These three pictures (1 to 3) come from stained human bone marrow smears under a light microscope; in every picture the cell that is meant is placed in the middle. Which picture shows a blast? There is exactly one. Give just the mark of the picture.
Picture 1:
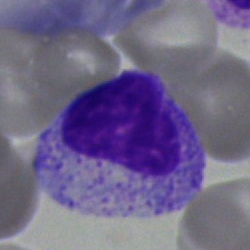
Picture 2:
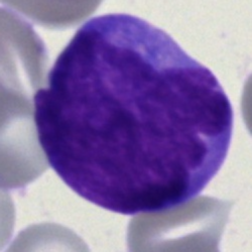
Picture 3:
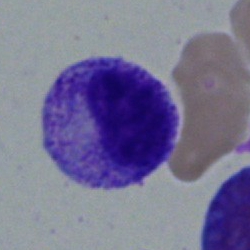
2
